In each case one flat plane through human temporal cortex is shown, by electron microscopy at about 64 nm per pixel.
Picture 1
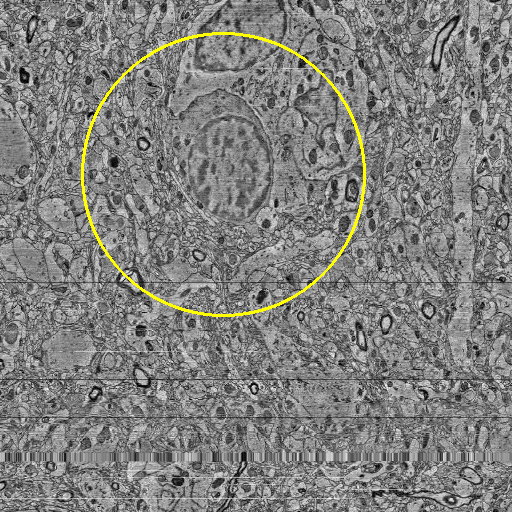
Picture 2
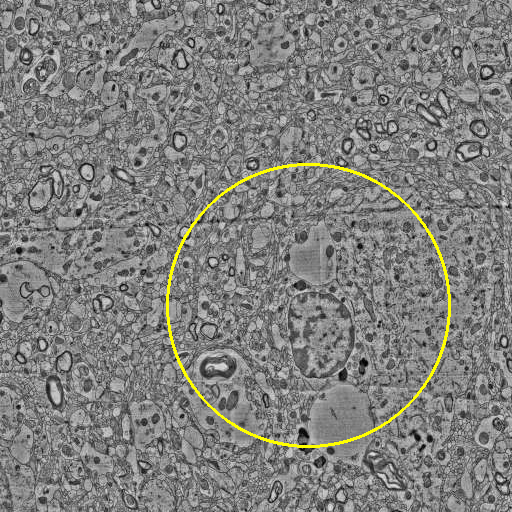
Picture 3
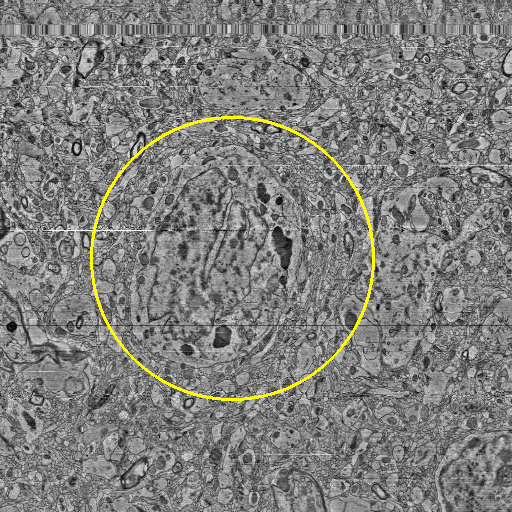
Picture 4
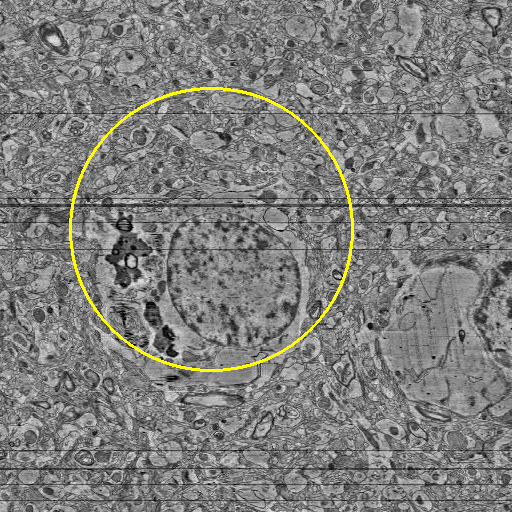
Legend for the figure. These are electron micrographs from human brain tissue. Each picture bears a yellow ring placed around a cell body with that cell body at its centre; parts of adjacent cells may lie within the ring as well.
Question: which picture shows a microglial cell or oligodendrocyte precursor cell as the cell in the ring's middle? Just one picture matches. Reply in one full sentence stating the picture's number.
It is picture 2 whose yellow ring is centred on the requested cell.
